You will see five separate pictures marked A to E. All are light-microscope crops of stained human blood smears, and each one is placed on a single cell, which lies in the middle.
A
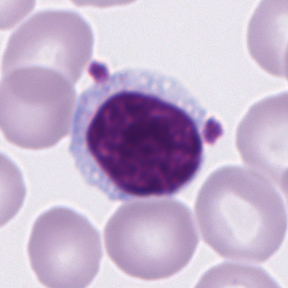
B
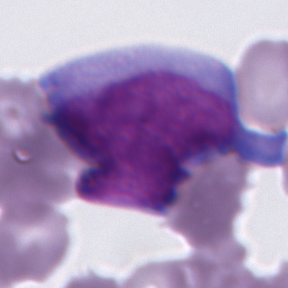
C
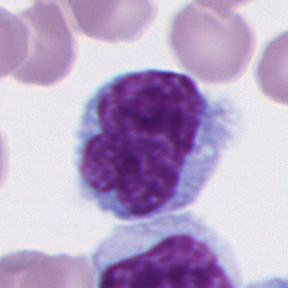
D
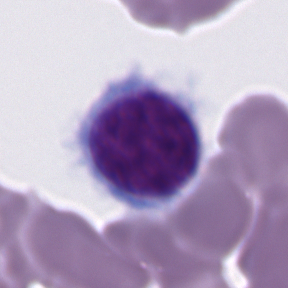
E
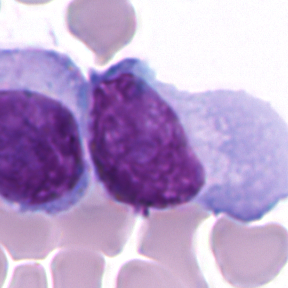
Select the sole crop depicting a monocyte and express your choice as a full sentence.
The requested cell, a monocyte, is the one in crop C.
